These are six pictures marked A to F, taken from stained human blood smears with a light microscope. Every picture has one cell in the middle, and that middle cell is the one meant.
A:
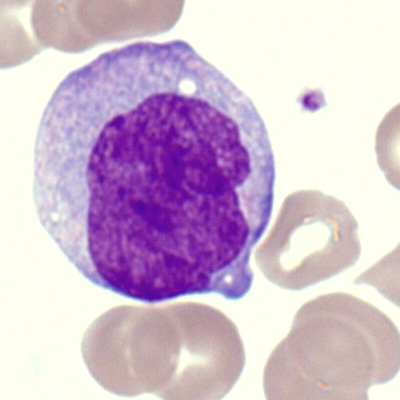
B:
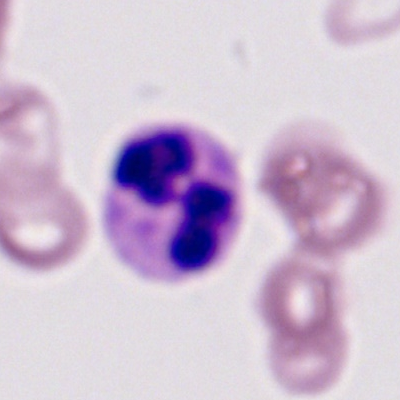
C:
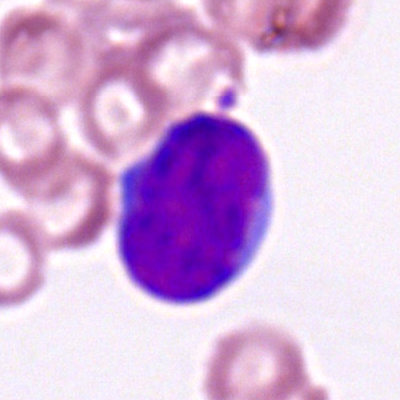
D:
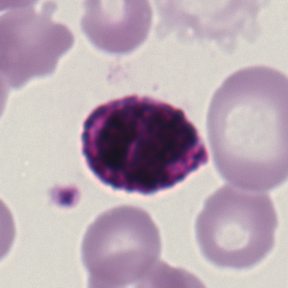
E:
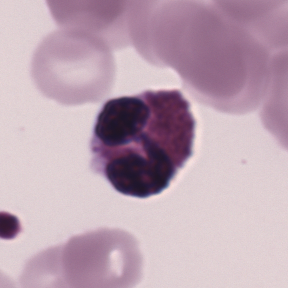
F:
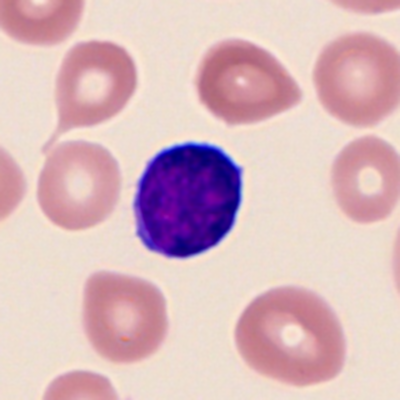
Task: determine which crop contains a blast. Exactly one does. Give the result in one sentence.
The crop that shows a blast is crop C.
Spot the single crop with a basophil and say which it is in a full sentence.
Crop D represents a basophil, while the other crops do not.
